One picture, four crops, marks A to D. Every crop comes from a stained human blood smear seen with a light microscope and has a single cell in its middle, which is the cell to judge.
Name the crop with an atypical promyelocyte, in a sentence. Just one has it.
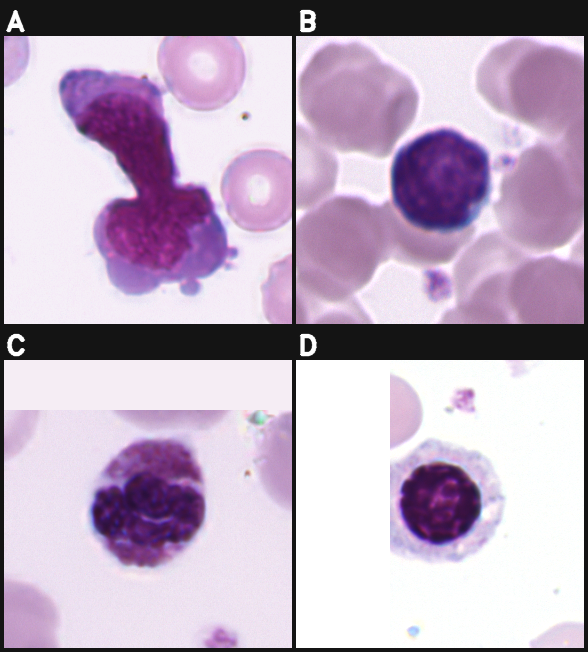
Crop A is identified as the crop showing an atypical promyelocyte.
